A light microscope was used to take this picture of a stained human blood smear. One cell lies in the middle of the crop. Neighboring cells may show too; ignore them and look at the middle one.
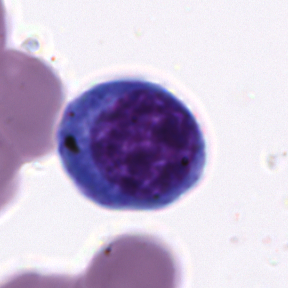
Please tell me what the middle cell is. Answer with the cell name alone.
plasma cell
